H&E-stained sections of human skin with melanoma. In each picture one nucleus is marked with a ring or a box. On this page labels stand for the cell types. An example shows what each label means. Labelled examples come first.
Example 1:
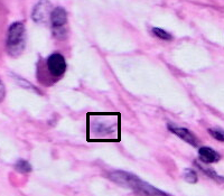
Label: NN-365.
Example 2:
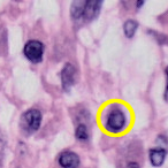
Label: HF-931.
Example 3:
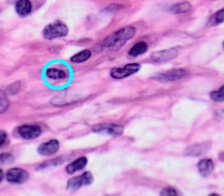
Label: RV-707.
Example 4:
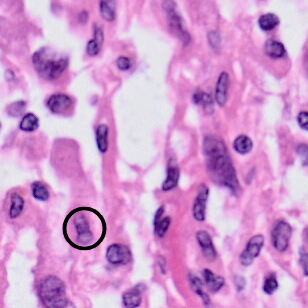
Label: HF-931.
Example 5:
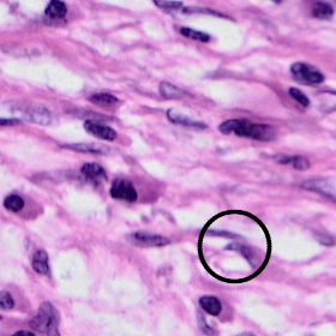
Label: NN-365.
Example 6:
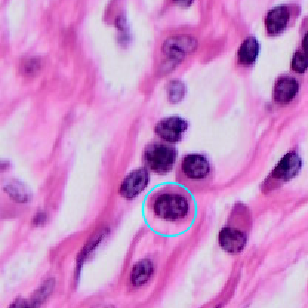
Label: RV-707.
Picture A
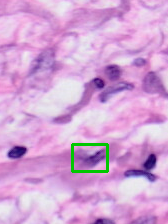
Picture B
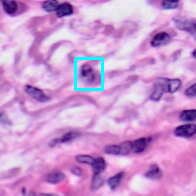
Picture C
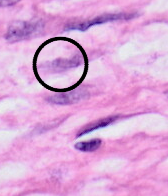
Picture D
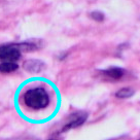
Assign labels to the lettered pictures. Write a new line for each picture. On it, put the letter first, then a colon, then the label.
A: NN-365.
B: RV-707.
C: NN-365.
D: RV-707.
